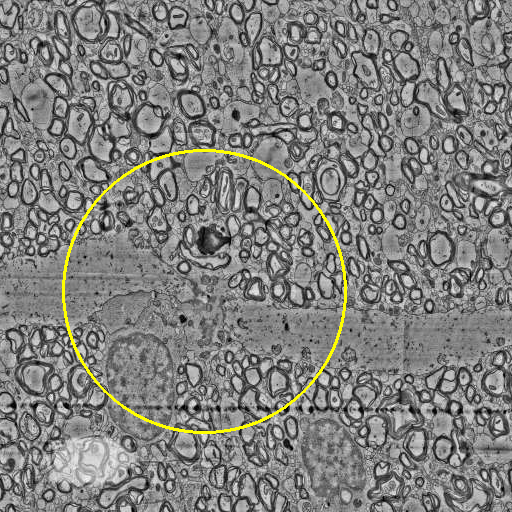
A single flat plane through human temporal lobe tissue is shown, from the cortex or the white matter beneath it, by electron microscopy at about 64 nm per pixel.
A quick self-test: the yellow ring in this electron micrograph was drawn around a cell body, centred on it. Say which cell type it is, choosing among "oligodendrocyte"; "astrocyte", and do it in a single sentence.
The yellow-ringed cell is an oligodendrocyte.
